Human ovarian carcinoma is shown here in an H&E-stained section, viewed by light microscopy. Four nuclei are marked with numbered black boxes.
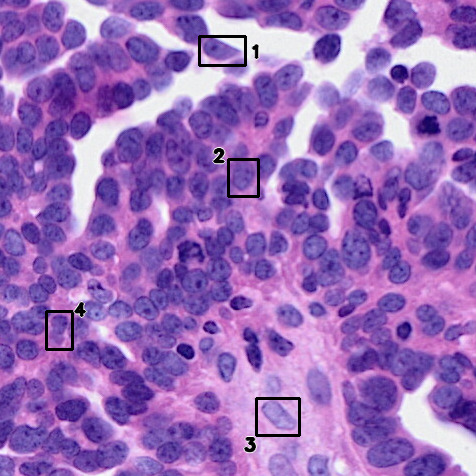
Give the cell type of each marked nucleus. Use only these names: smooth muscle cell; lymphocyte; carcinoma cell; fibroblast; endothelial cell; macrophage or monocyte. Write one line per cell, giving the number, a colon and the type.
1: carcinoma cell
2: carcinoma cell
3: fibroblast
4: carcinoma cell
